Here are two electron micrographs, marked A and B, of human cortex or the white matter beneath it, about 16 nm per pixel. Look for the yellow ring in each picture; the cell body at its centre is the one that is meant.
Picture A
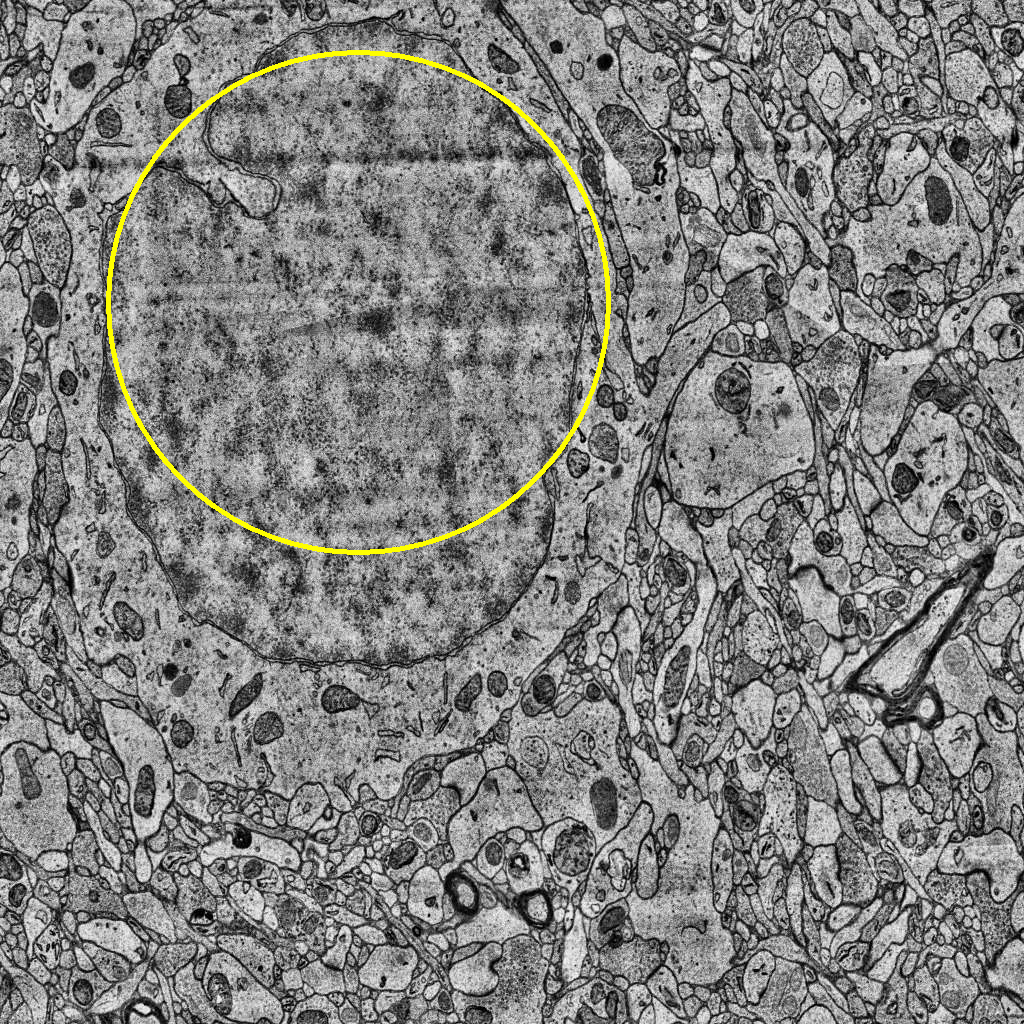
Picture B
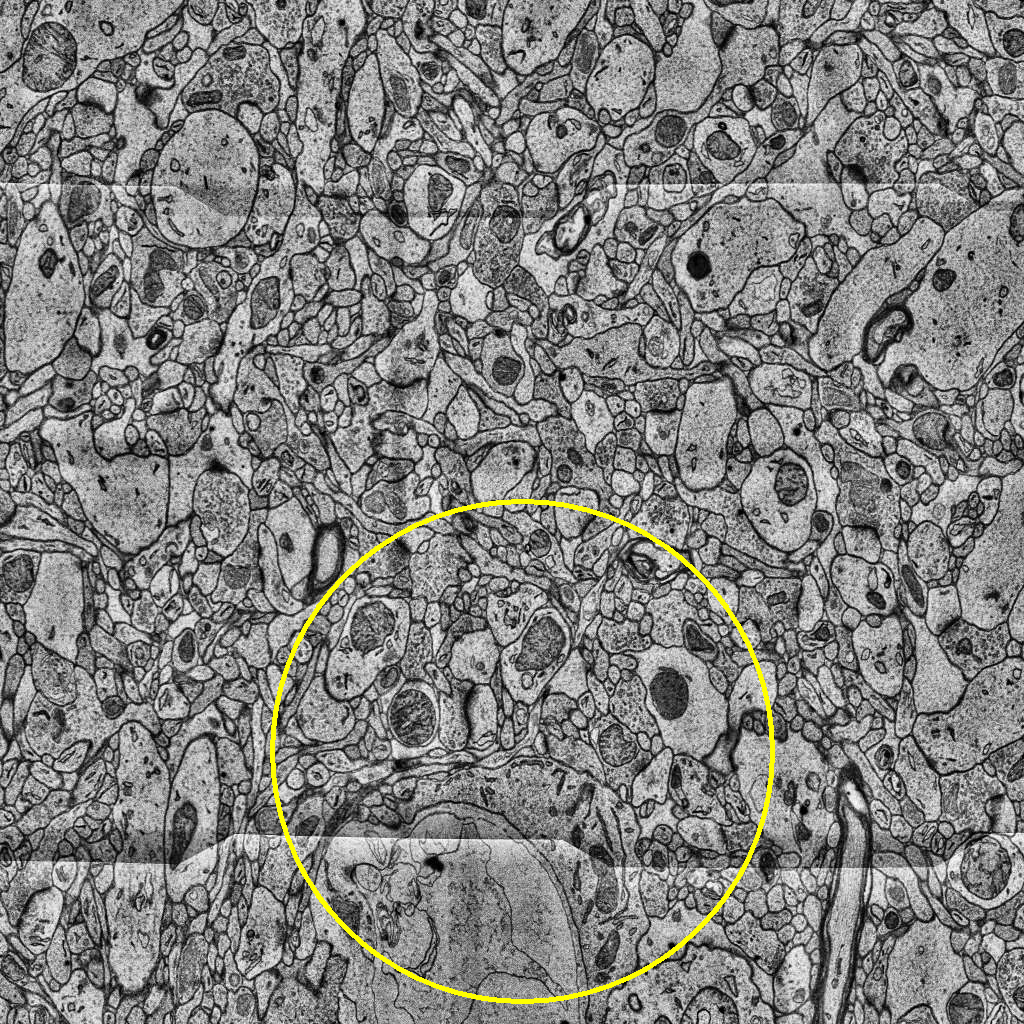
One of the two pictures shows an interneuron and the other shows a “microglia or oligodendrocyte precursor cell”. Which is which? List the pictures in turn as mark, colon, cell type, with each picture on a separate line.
A: interneuron
B: microglia or oligodendrocyte precursor cell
